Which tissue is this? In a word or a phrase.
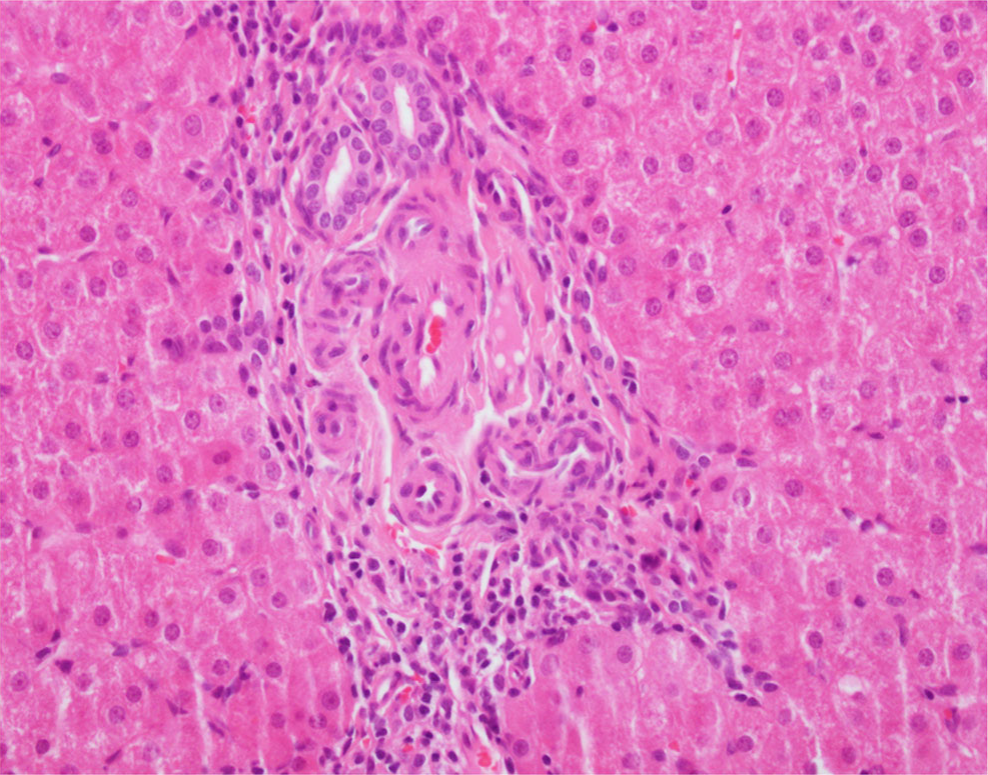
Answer: Portal tract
